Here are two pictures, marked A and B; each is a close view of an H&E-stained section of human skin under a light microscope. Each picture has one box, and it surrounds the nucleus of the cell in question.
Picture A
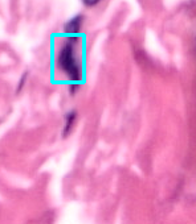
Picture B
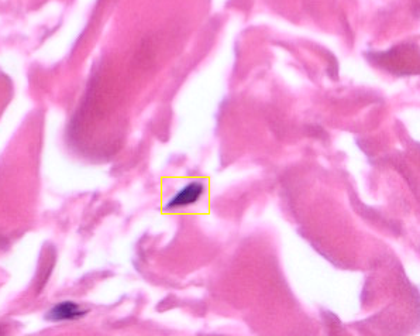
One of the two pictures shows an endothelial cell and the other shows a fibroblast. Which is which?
A: endothelial cell
B: fibroblast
